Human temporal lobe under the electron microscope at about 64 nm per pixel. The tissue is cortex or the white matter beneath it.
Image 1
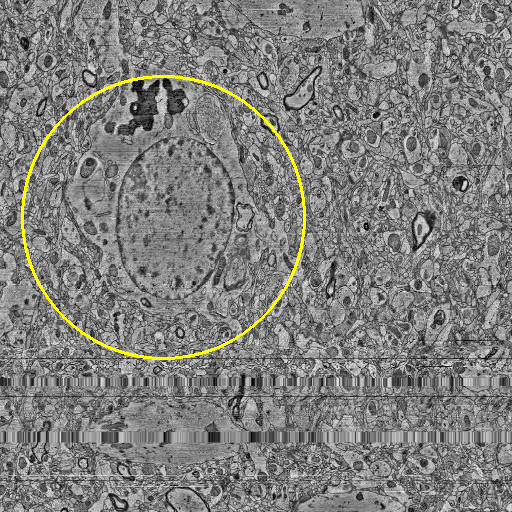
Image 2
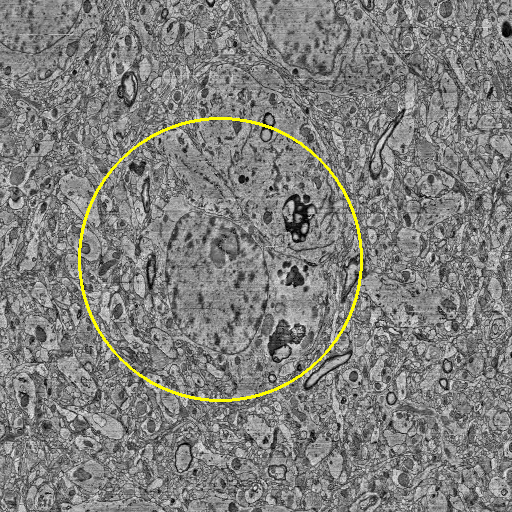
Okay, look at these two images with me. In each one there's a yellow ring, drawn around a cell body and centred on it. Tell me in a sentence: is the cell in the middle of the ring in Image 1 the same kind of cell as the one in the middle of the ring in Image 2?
Yes, they're the same kind of cell.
